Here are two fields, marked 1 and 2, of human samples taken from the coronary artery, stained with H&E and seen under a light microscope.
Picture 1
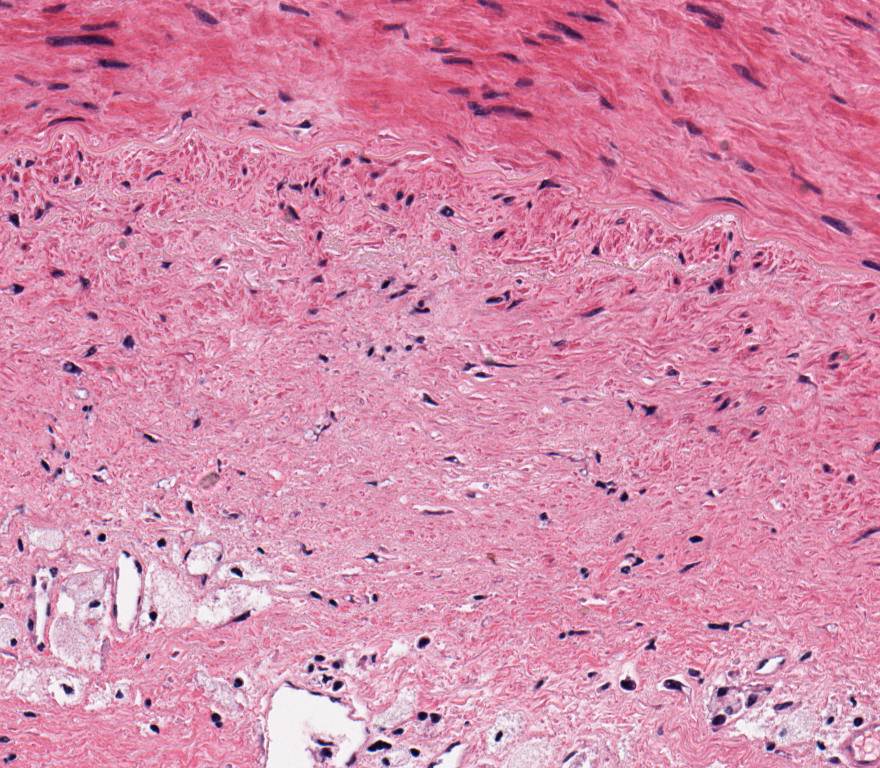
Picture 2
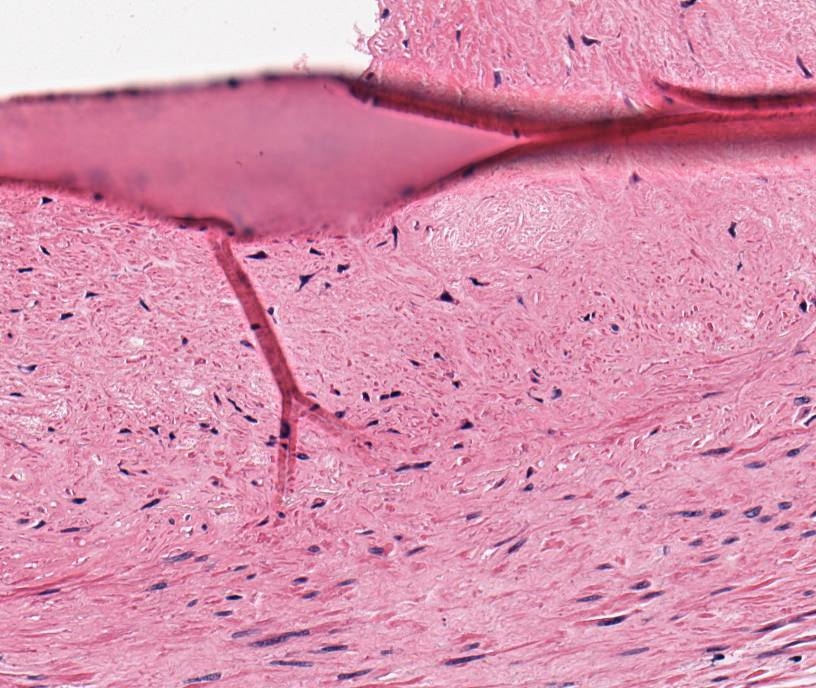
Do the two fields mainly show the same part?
yes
